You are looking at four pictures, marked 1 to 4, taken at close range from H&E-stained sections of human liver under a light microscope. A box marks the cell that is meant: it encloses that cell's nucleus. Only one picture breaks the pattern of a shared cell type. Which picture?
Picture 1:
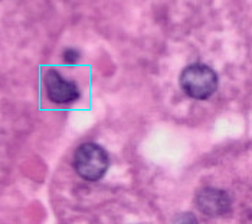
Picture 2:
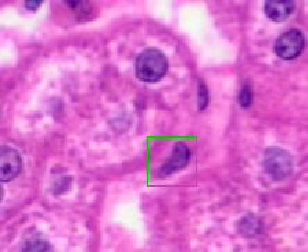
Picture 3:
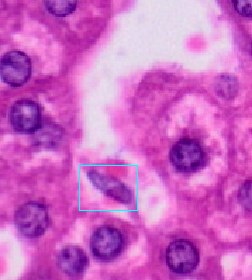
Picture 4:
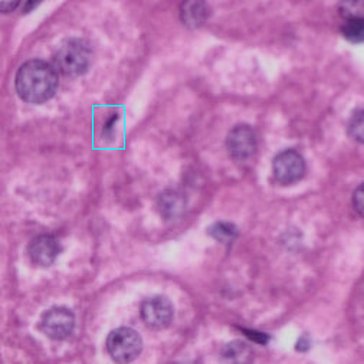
4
